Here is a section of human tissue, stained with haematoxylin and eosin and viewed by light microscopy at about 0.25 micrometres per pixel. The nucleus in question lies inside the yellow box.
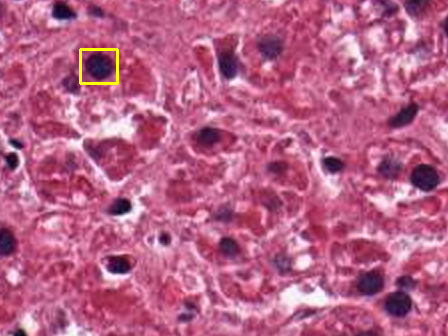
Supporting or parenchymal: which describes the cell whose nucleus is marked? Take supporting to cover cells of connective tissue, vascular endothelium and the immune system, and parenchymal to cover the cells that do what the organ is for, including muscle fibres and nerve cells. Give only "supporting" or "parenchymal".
parenchymal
